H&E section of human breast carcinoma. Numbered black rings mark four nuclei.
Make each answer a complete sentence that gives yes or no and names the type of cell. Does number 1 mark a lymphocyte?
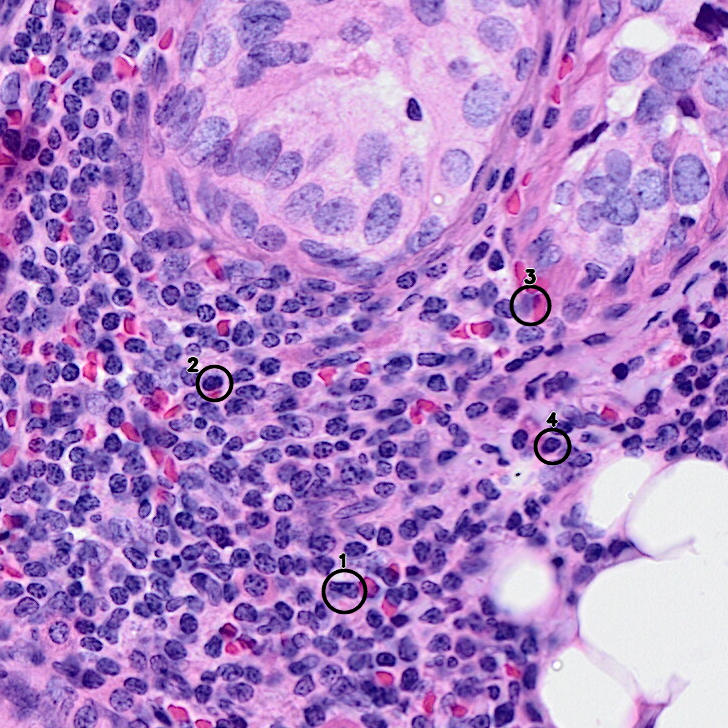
Yes, the numbered cell 1 is a lymphocyte.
